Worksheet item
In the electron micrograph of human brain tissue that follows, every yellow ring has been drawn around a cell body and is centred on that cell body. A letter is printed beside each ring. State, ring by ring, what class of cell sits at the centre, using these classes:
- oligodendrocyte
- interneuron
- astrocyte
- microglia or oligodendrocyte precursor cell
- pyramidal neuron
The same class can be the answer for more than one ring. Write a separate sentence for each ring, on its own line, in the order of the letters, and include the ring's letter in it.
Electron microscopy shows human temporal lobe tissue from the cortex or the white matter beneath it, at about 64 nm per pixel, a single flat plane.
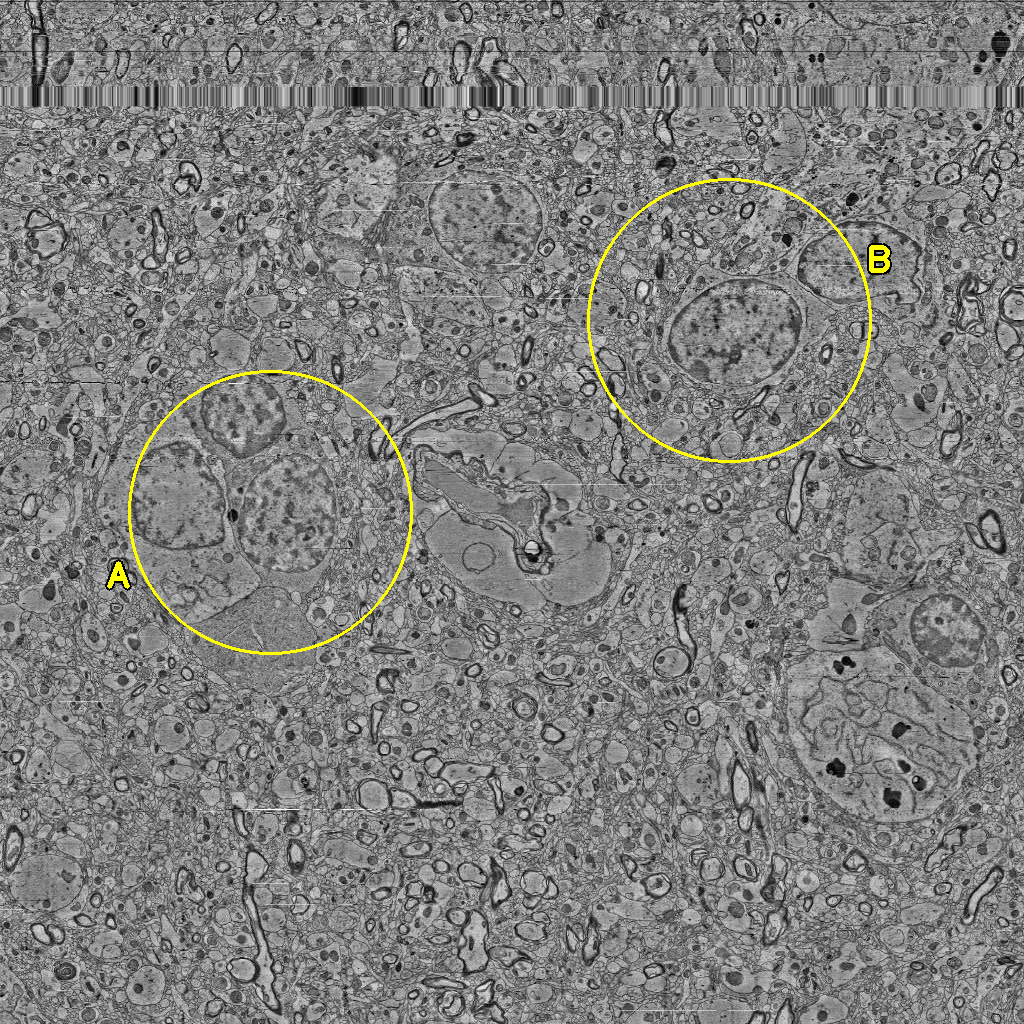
At the centre of ring A sits an oligodendrocyte.
At the centre of ring B sits a microglial cell or oligodendrocyte precursor cell.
